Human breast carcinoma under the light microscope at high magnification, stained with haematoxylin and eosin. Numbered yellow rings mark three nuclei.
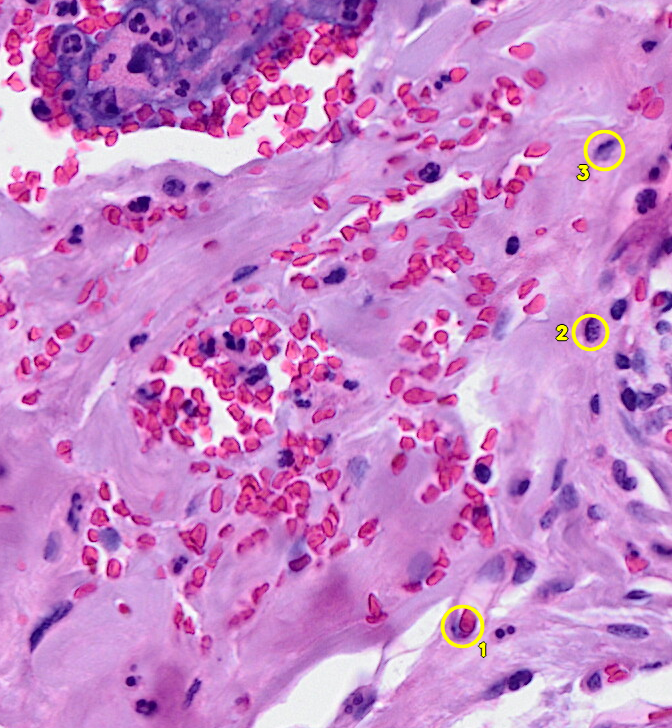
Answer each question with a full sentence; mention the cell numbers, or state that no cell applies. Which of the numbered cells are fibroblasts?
Mind that only cell 3 is a fibroblast, none of the rest.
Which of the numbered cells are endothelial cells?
Exactly one of the numbered cells is an endothelial cell, namely cell 1.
